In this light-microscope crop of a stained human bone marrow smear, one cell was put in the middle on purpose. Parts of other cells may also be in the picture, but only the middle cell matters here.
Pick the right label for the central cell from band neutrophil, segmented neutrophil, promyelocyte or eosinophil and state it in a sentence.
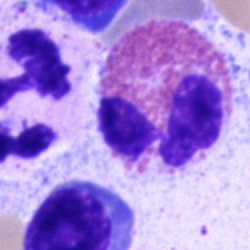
At the center of the crop sits an eosinophil.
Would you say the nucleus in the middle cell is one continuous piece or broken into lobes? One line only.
It is worth mentioning that the nucleus carries two or more lobes.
